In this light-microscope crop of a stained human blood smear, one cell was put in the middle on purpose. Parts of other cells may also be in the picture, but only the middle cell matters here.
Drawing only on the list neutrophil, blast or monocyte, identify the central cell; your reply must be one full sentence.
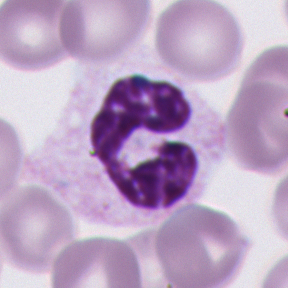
Standing at the centre of this crop is a neutrophil.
